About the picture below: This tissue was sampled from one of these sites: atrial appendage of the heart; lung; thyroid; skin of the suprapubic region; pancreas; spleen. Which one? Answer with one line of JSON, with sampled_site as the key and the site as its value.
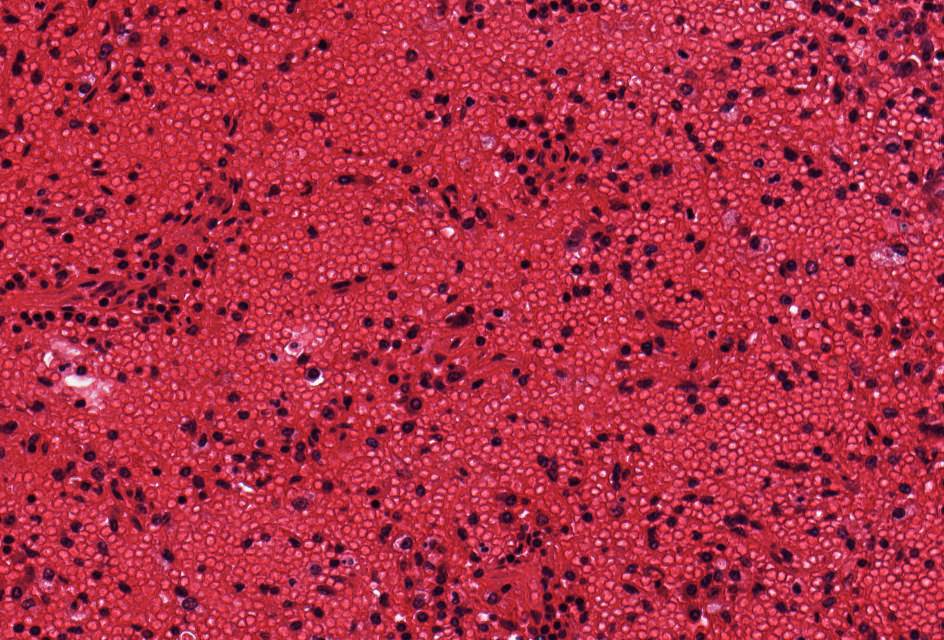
{"sampled_site": "spleen"}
